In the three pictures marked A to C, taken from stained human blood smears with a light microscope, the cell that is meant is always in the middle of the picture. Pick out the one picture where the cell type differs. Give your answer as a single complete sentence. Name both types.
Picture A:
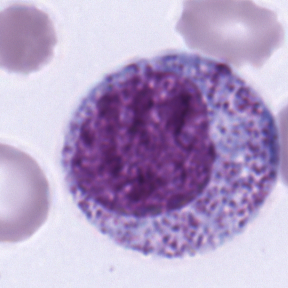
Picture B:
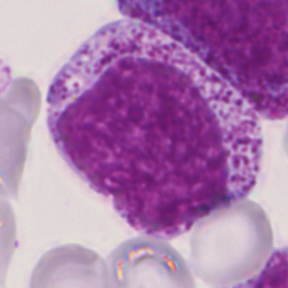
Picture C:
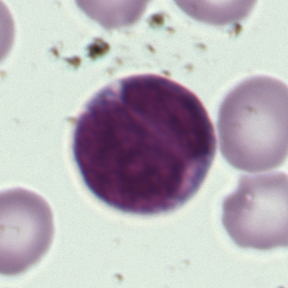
Picture C is the odd one out: it shows a myeloblast, while the others show promyelocytes.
